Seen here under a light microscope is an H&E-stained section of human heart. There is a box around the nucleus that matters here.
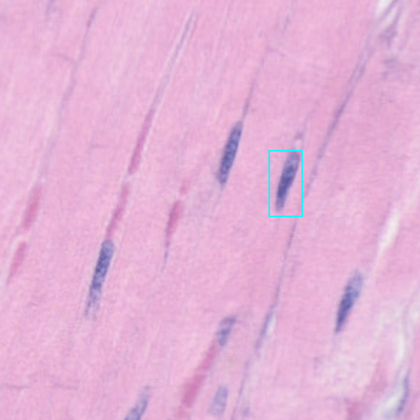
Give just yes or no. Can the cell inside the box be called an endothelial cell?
yes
